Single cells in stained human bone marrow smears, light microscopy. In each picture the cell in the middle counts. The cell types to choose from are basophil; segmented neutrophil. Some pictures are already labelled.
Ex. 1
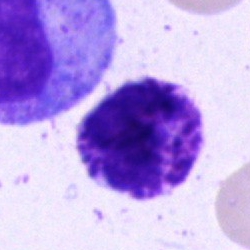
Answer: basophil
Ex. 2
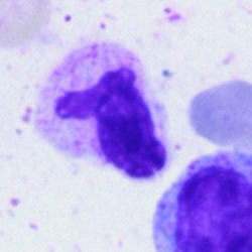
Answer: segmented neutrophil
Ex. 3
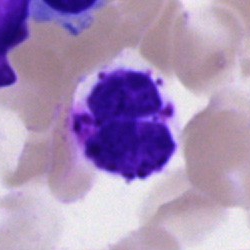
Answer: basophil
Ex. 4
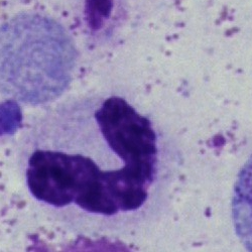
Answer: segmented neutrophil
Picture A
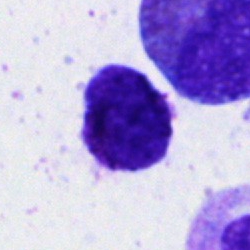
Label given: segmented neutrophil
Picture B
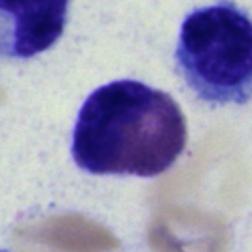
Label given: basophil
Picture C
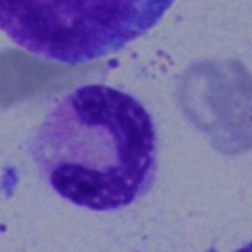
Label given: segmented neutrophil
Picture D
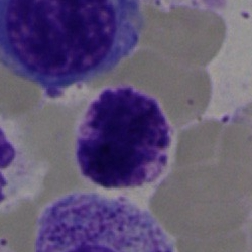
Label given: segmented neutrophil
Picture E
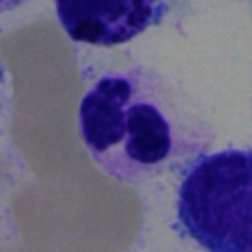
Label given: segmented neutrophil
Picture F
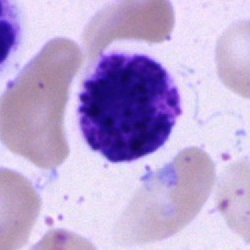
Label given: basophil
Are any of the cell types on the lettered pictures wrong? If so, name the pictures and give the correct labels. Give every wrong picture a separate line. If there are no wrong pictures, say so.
A: not segmented neutrophil but basophil
D: not segmented neutrophil but basophil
